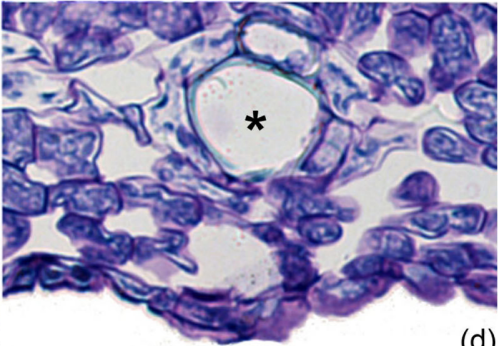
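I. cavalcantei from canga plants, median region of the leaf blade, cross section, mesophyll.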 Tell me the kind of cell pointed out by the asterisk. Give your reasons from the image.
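The asterisk sits in a large rounded cell much larger than its neighbours. Its content is pale and homogeneous, without chloroplasts. The answer: secretory cell.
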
